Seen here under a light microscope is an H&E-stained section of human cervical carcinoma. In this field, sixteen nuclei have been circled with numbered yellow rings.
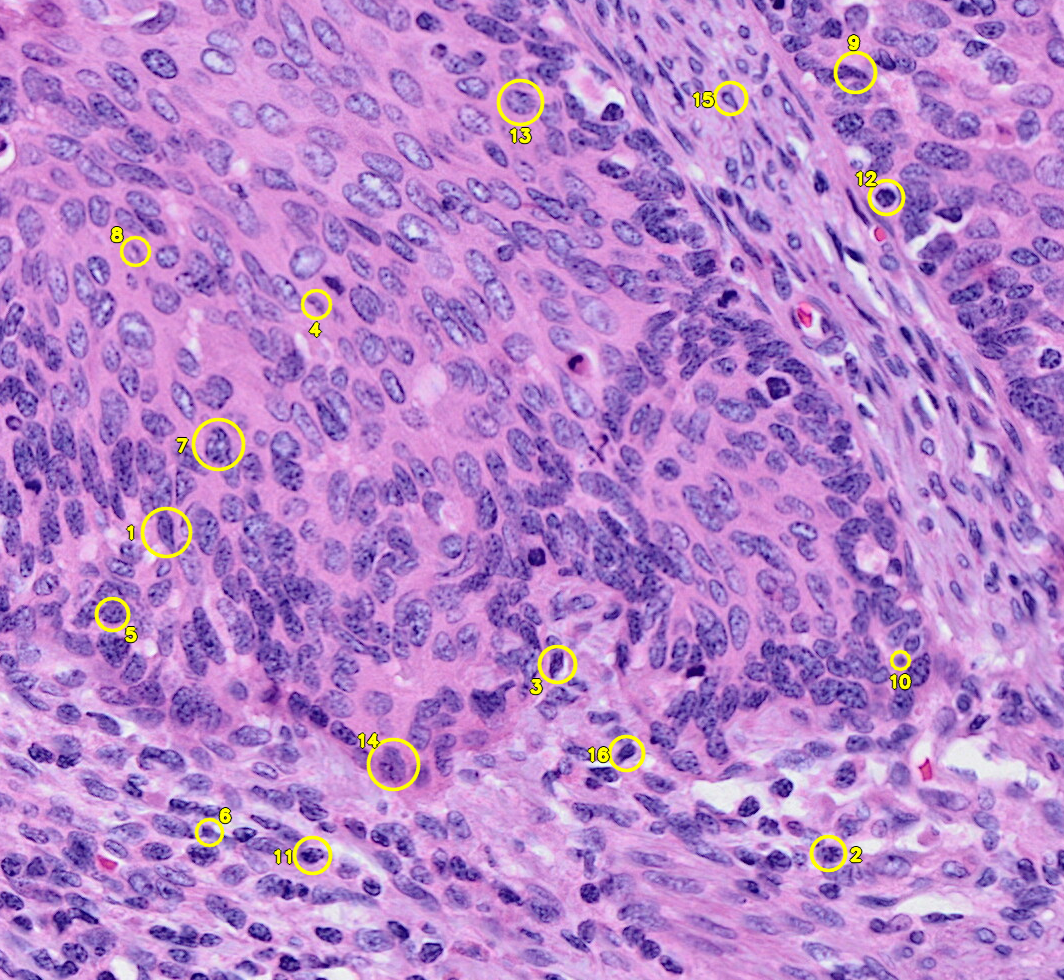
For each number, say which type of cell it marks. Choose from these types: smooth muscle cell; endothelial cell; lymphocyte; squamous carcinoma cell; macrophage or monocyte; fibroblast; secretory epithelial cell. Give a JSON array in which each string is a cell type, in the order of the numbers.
["squamous carcinoma cell", "lymphocyte", "lymphocyte", "squamous carcinoma cell", "squamous carcinoma cell", "lymphocyte", "squamous carcinoma cell", "squamous carcinoma cell", "squamous carcinoma cell", "squamous carcinoma cell", "lymphocyte", "lymphocyte", "squamous carcinoma cell", "squamous carcinoma cell", "smooth muscle cell", "lymphocyte"]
